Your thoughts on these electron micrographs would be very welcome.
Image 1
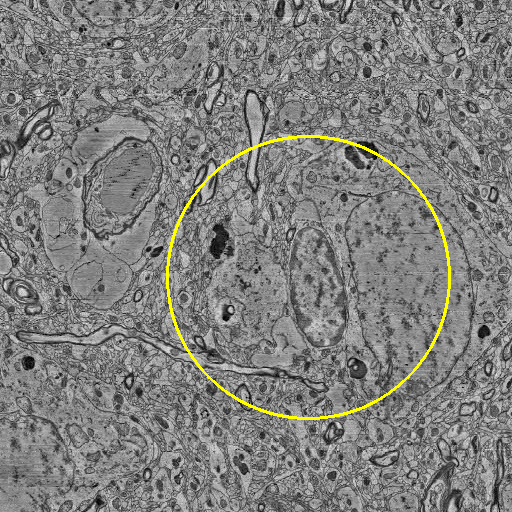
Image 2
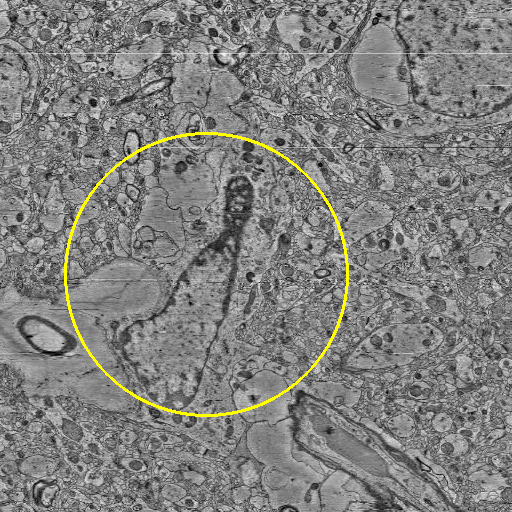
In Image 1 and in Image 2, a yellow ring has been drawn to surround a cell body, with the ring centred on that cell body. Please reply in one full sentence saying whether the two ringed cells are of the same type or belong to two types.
The ringed cells in Image 1 and Image 2 are of the same type.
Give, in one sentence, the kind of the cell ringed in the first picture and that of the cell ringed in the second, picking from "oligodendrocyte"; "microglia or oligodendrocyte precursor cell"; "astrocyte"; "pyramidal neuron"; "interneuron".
In each picture the ringed cell is a microglial cell or oligodendrocyte precursor cell.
